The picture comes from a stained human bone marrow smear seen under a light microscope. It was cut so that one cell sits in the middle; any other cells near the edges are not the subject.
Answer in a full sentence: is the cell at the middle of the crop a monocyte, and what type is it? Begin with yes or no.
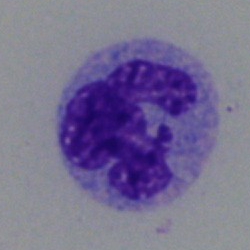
Yes, a monocyte is present in the middle of the crop.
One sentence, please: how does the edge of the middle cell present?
You can see a smooth boundary, with no projections sticking out.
